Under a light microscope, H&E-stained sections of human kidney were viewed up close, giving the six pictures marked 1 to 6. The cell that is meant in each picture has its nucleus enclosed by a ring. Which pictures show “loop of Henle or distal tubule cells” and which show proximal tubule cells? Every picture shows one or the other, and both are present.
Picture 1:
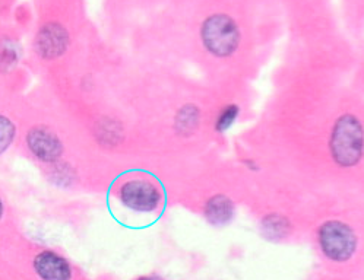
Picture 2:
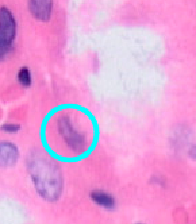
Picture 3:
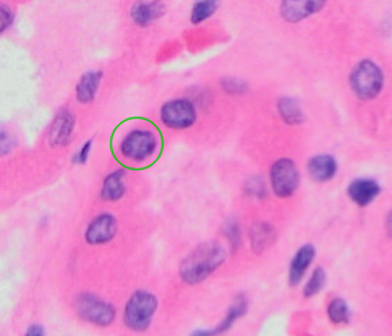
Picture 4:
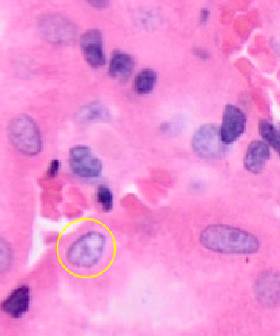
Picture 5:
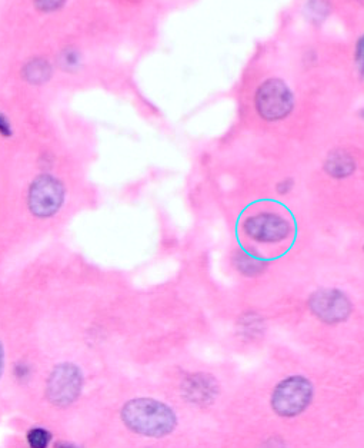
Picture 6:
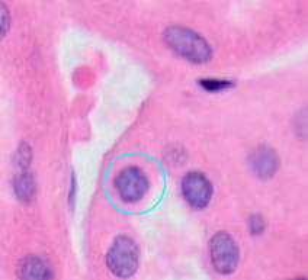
1: loop of Henle or distal tubule cell
2: proximal tubule cell
3: proximal tubule cell
4: proximal tubule cell
5: proximal tubule cell
6: loop of Henle or distal tubule cell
